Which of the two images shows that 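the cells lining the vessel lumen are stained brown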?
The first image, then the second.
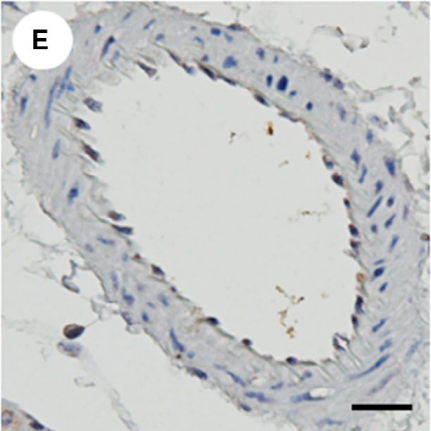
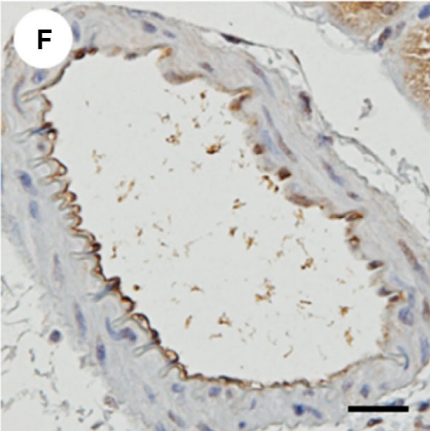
The second image.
